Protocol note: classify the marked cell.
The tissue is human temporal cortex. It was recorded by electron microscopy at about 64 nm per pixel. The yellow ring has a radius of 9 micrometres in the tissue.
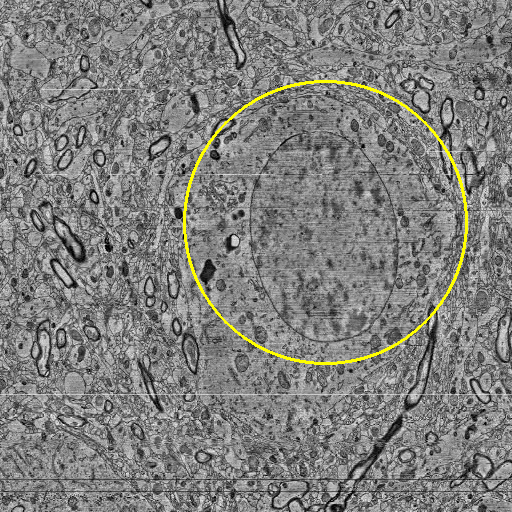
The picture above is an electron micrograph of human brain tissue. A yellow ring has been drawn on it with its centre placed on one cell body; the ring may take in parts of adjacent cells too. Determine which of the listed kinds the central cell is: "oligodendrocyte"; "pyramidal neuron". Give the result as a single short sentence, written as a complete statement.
The central cell is a pyramidal neuron.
